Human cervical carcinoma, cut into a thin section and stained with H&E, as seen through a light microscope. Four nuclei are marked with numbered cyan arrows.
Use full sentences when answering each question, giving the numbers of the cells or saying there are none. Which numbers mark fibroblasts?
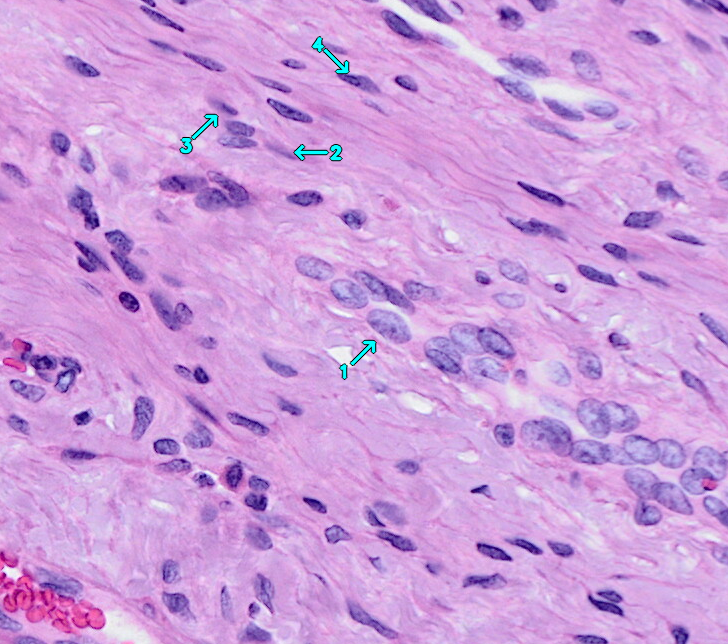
The cells numbered 2, 3 and 4 are, by type, fibroblasts.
